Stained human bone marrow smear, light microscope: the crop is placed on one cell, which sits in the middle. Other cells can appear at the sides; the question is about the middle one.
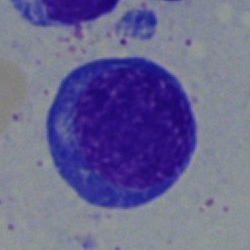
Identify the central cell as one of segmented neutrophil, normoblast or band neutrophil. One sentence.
Framed in the middle of the crop is a normoblast.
